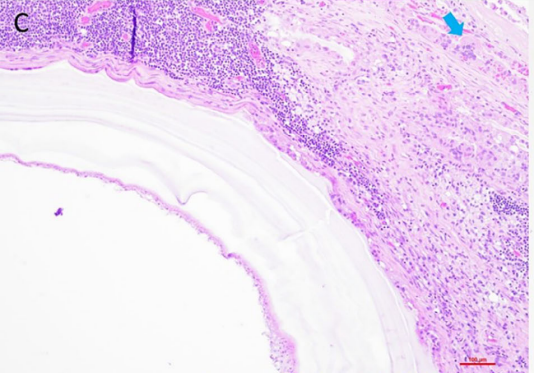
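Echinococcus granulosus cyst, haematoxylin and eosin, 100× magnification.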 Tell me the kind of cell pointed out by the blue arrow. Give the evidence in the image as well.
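The arrow points to a large cell in the loose tissue away from the cyst lining. The marked cell is larger than the surrounding small round cells and holds more than one nucleus. So: multinucleated giant cells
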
